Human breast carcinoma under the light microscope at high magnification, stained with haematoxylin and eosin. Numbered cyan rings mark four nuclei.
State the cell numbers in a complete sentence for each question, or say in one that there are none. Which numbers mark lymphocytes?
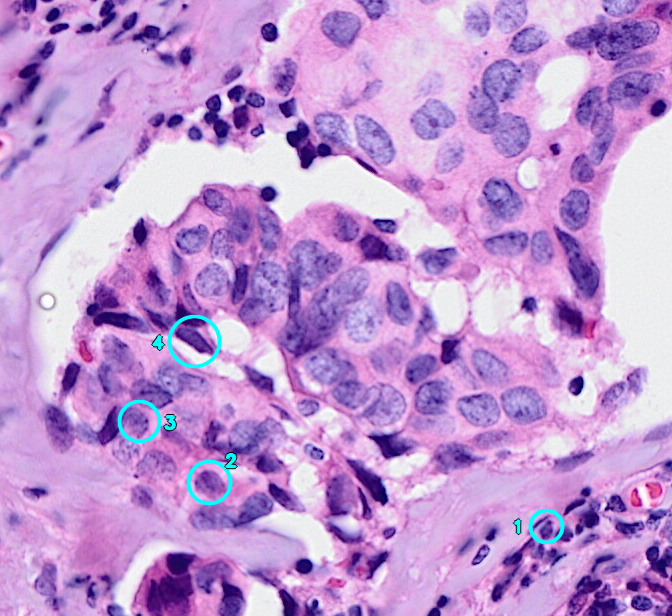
The cell labelled 1 is a lymphocyte, while the remaining numbered cells are not.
